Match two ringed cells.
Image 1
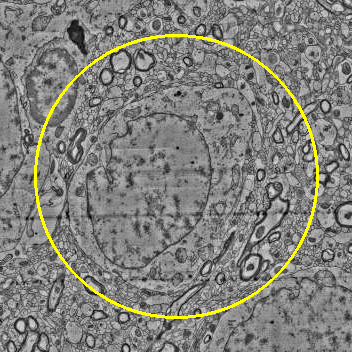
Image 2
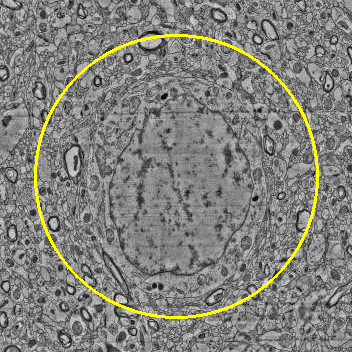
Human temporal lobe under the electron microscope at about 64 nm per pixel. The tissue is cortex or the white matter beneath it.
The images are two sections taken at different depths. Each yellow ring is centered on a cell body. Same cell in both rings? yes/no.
no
